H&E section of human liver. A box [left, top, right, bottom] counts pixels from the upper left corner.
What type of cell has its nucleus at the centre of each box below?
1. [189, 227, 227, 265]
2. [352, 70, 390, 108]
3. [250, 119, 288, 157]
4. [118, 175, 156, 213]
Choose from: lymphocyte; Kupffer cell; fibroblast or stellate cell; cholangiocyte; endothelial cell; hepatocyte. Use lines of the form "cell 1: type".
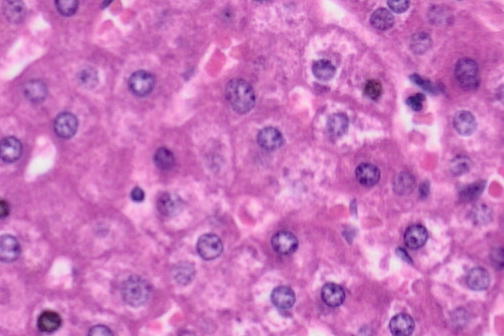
cell 1: hepatocyte
cell 2: hepatocyte
cell 3: hepatocyte
cell 4: lymphocyte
